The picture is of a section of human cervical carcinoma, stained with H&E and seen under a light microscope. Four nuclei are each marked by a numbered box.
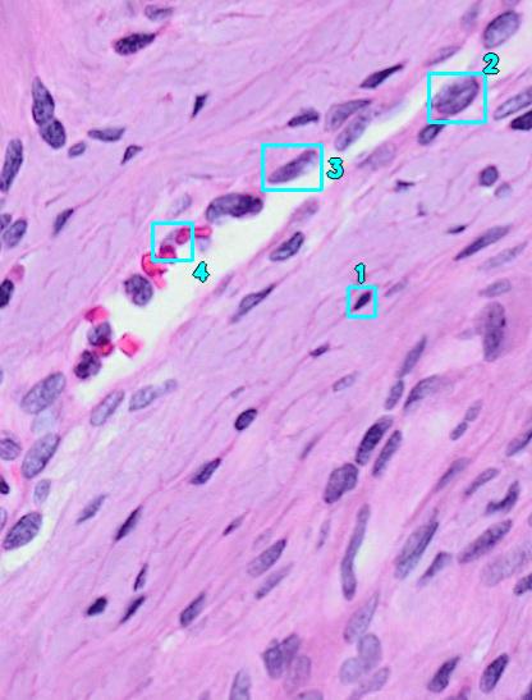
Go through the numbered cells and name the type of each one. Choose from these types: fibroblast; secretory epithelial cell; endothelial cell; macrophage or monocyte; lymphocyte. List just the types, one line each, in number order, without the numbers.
fibroblast
endothelial cell
endothelial cell
endothelial cell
